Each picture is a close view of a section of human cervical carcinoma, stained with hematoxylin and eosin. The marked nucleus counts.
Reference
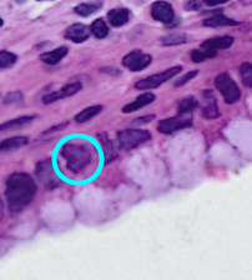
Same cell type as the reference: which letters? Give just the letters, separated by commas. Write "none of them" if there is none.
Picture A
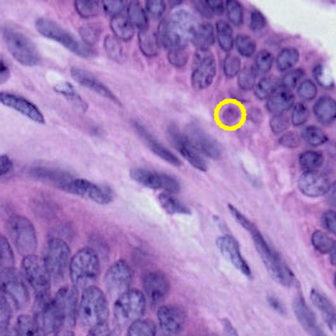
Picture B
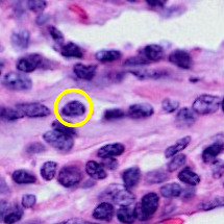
A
